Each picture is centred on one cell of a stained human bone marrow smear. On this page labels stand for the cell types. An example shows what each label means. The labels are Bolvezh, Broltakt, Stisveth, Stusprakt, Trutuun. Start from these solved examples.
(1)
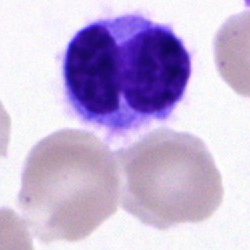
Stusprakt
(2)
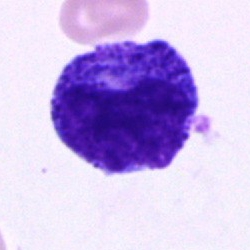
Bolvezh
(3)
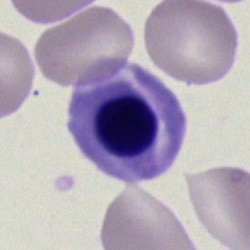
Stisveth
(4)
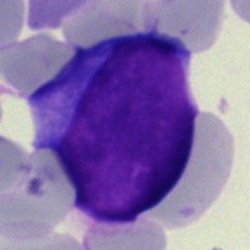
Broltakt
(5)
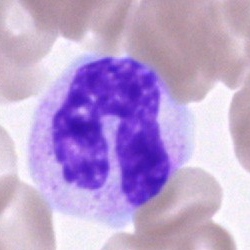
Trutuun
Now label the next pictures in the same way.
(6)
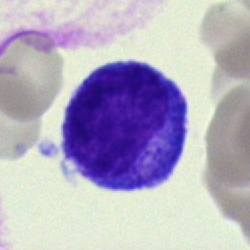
Bolvezh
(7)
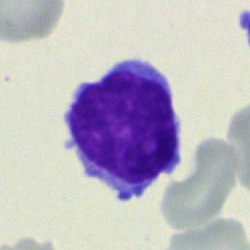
Stusprakt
